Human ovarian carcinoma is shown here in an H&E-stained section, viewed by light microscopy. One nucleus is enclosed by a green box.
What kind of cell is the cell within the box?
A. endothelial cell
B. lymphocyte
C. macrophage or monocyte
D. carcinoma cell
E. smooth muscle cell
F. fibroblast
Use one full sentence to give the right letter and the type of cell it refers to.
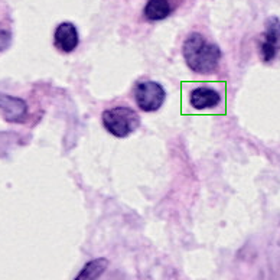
Option B names the cell within the box correctly as a lymphocyte.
